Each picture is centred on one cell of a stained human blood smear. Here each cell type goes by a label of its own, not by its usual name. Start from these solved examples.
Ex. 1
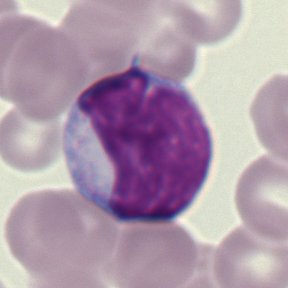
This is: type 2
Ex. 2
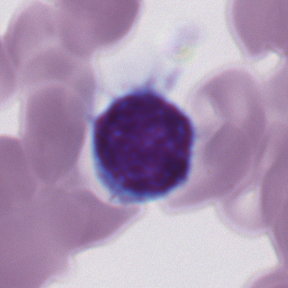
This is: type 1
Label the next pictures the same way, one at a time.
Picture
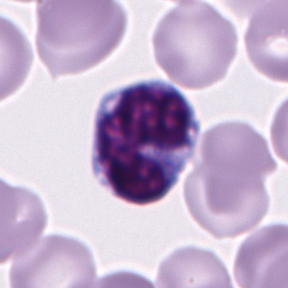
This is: type 1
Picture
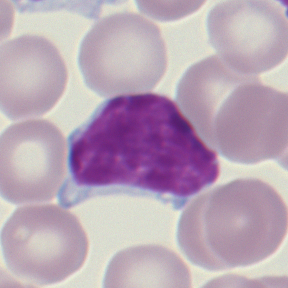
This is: type 1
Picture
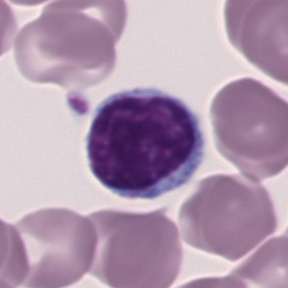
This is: type 1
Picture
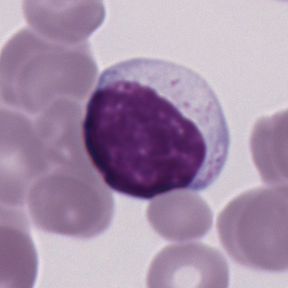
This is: type 2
